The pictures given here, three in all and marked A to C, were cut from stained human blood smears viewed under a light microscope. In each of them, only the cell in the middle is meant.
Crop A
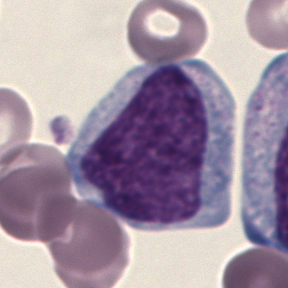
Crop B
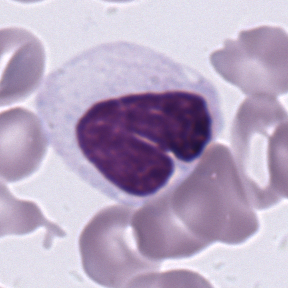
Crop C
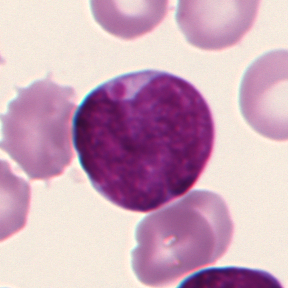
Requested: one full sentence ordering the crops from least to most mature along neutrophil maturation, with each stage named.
The ordering by maturity, least to greatest, is crop C (a myeloblast), crop A (a promyelocyte) and crop B (a band neutrophil).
